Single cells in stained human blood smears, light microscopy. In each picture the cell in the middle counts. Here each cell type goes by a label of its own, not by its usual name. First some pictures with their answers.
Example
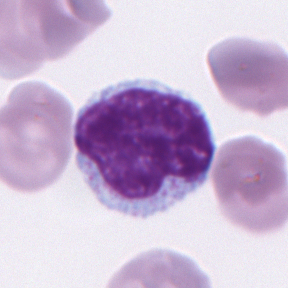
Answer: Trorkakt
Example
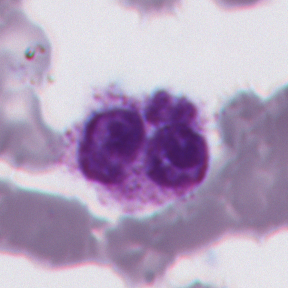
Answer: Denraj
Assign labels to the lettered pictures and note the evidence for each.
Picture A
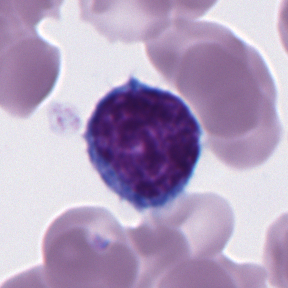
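Trorkakt. Evidence: The cytoplasm forms a scant rim that is widest at the lower left.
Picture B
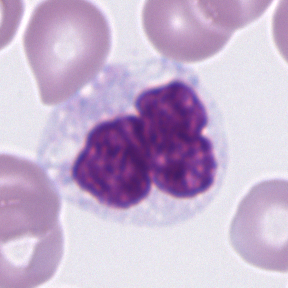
Denraj. Evidence: The cytoplasm forms a broad, very pale bluish-grey rim around the nucleus.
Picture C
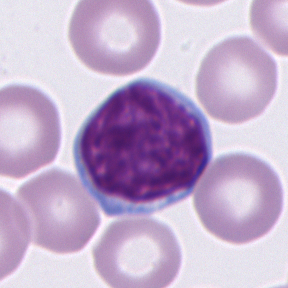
Trorkakt. Evidence: The cytoplasm forms only a thin rim around the nucleus.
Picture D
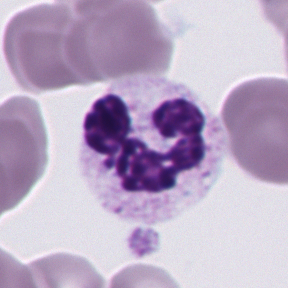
Denraj. Evidence: The lobes are arranged in a horseshoe curve that opens upward.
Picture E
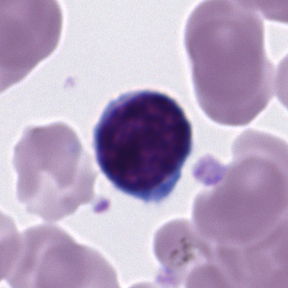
Trorkakt. Evidence: The cytoplasm forms only a thin rim around the nucleus.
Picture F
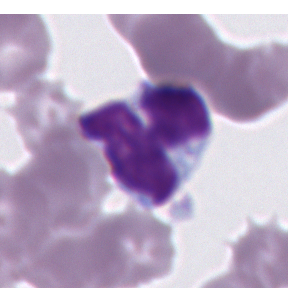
Trorkakt. Evidence: The nucleus fills most of the cell.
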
